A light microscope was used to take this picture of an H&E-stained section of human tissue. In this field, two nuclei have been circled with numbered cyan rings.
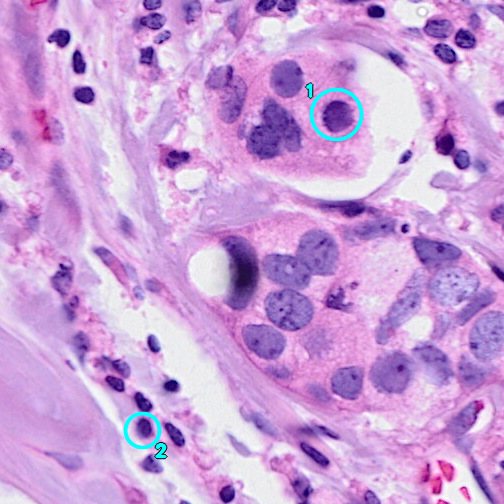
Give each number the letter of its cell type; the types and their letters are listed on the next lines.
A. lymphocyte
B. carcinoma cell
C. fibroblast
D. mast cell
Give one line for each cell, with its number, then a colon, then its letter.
1: B
2: A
